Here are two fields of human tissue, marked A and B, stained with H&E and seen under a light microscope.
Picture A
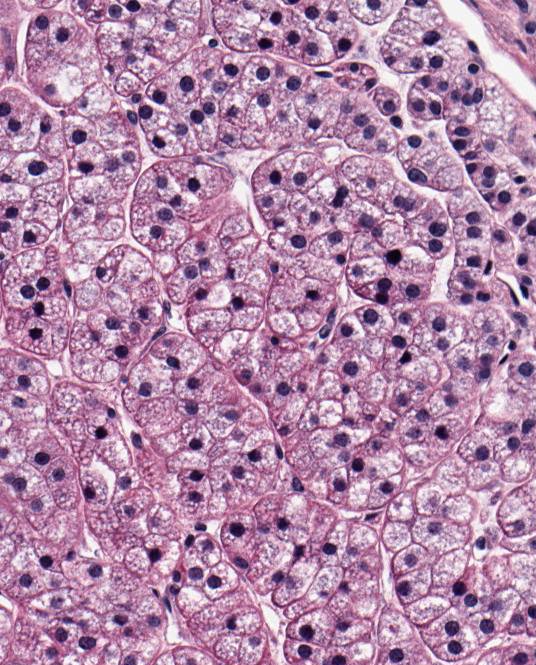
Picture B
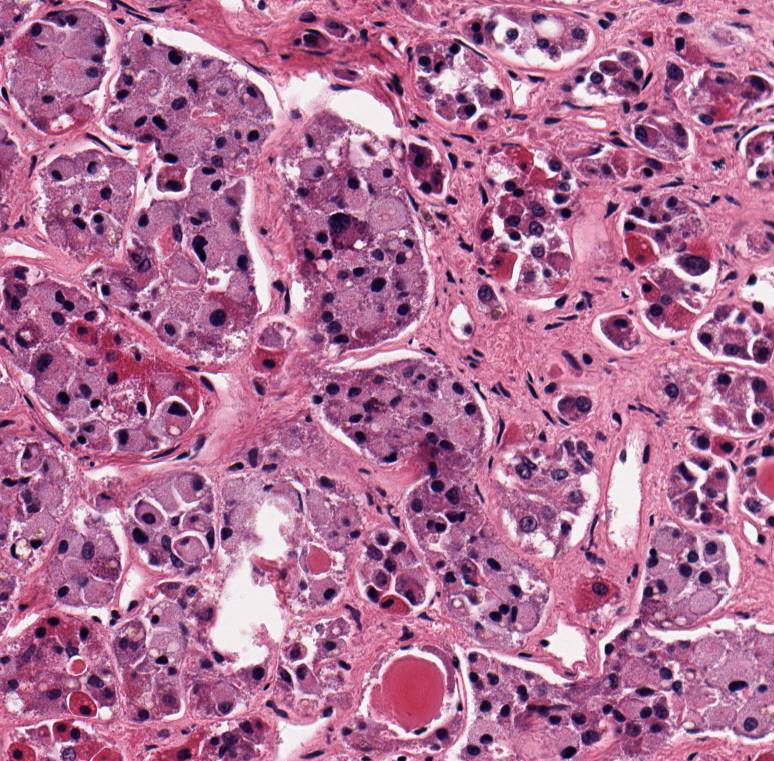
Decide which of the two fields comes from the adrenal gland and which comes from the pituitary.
A: adrenal gland
B: pituitary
